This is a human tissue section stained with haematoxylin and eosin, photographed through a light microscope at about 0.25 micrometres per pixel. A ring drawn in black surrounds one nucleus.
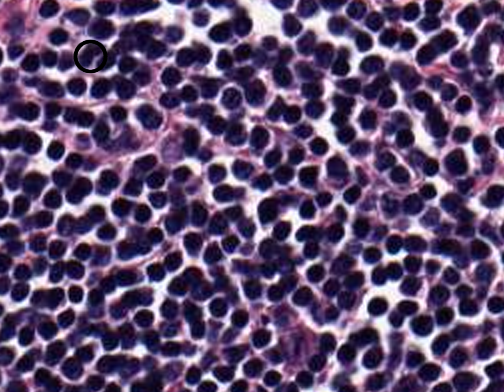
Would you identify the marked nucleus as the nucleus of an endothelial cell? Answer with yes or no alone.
no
